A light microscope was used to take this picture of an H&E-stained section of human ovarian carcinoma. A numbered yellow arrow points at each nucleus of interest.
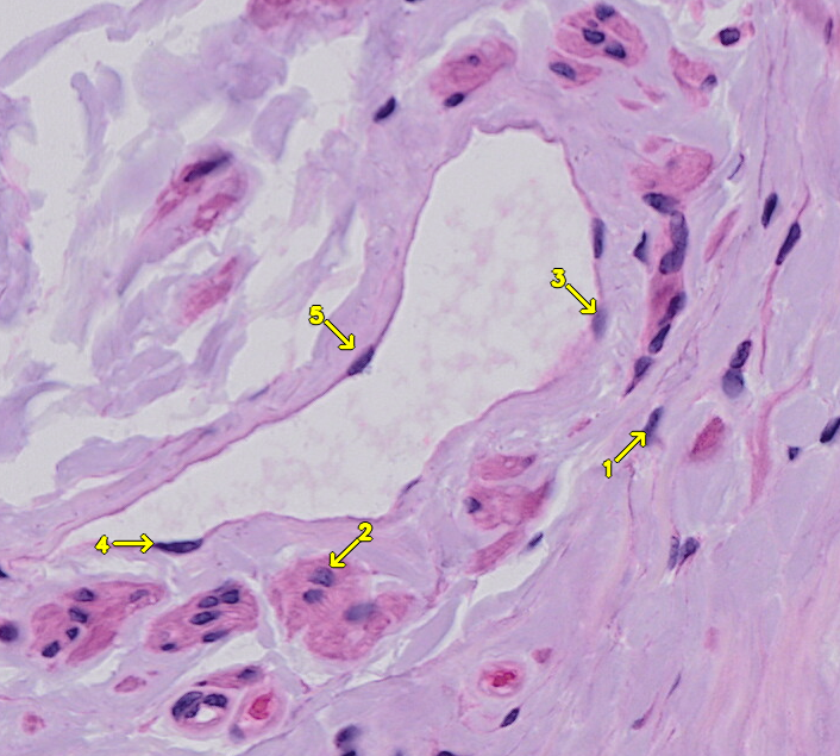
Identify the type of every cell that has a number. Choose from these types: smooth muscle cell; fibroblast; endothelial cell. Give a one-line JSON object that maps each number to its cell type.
{"1": "fibroblast", "2": "smooth muscle cell", "3": "endothelial cell", "4": "endothelial cell", "5": "endothelial cell"}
